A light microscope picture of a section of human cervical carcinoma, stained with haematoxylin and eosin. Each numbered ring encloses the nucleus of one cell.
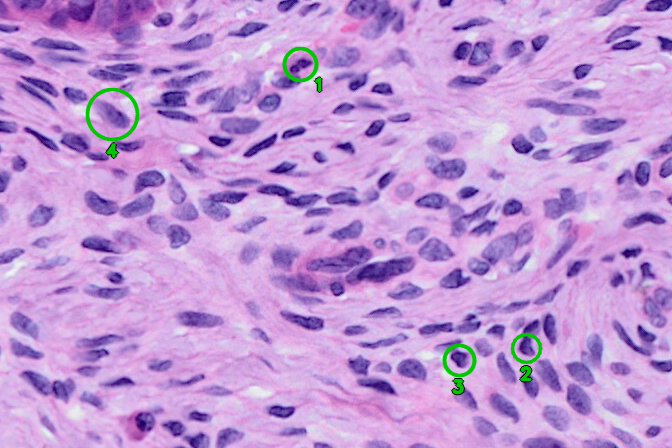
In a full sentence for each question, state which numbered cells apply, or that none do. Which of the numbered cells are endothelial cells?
Of the marked cells, the one numbered 1 is an endothelial cell and the rest are not.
